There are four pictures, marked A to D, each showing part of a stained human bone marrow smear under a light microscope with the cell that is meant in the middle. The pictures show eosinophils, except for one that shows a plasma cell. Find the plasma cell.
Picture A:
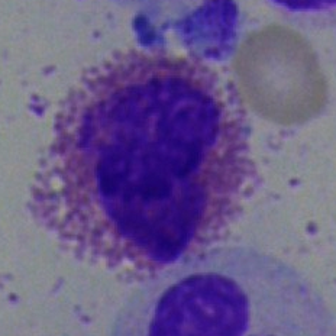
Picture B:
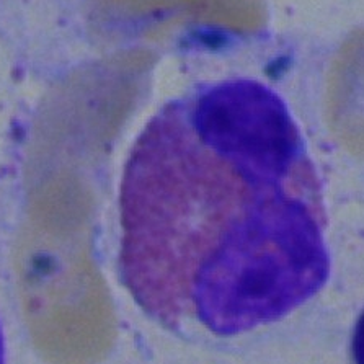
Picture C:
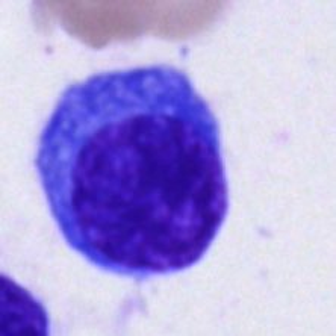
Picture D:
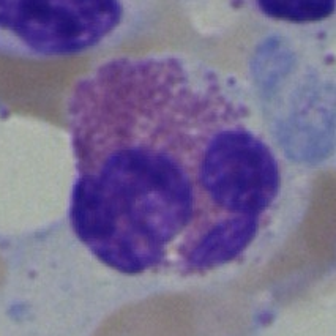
C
